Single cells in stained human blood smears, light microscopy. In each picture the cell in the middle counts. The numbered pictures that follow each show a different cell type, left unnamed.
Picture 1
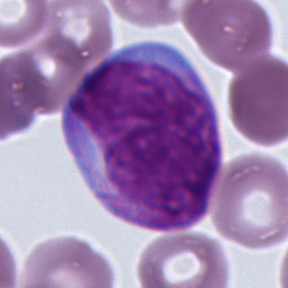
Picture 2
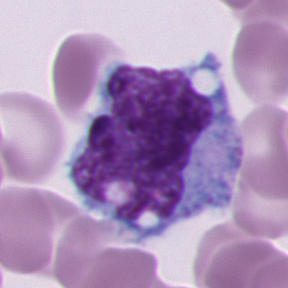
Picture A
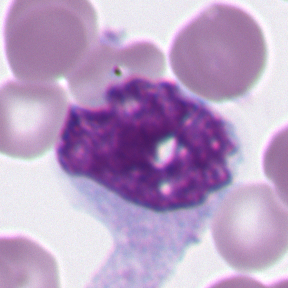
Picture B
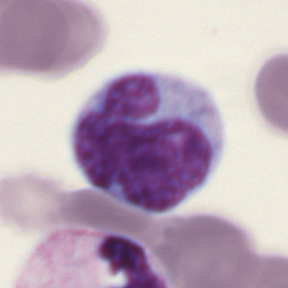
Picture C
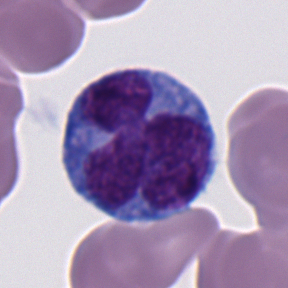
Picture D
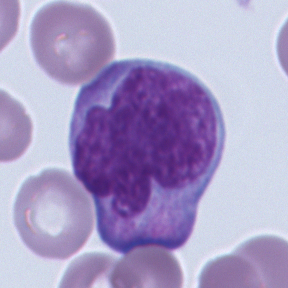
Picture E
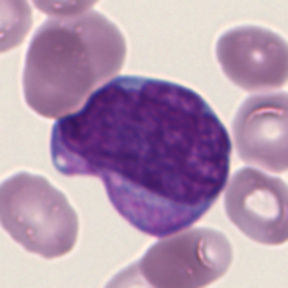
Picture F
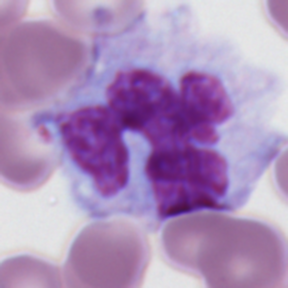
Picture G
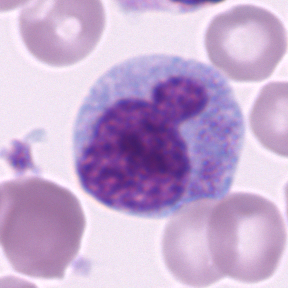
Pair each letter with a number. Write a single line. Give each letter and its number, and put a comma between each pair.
A 2, B 2, C 2, D 1, E 1, F 2, G 2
